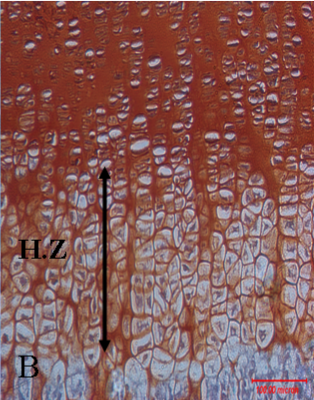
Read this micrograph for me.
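Growth plate cartilage showing the transition into the hypertrophic zone, with chondrocytes in a red-stained matrix. In the upper part, smaller flattened to rounded chondrocytes lie in lacunae arranged in vertical columns. Toward the bottom the cells become markedly enlarged and swollen, with pale, clear cytoplasm and thin red matrix septa between them, still loosely aligned in columns. A double-headed arrow spans this band of large cells. At the lower edge the cartilage meets bluish-green tissue of the advancing bone and marrow, where the red matrix breaks up into thin strands.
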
